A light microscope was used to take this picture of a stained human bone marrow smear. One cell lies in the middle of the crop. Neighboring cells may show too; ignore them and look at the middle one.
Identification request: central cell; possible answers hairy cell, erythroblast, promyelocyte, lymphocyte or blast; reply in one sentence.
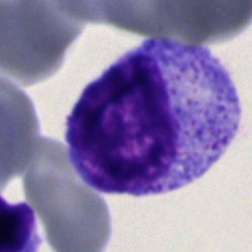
The cell sitting right in the middle is a promyelocyte.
